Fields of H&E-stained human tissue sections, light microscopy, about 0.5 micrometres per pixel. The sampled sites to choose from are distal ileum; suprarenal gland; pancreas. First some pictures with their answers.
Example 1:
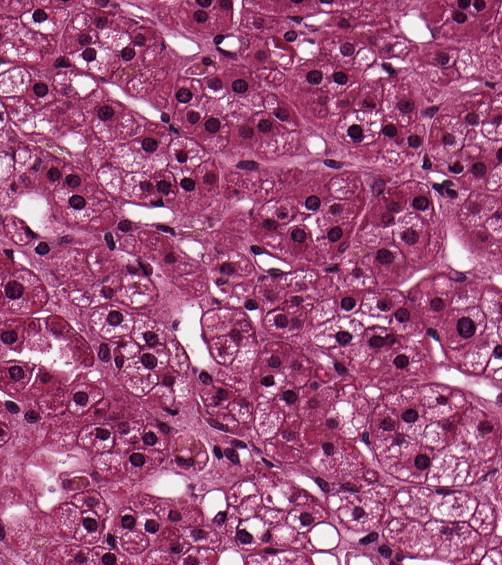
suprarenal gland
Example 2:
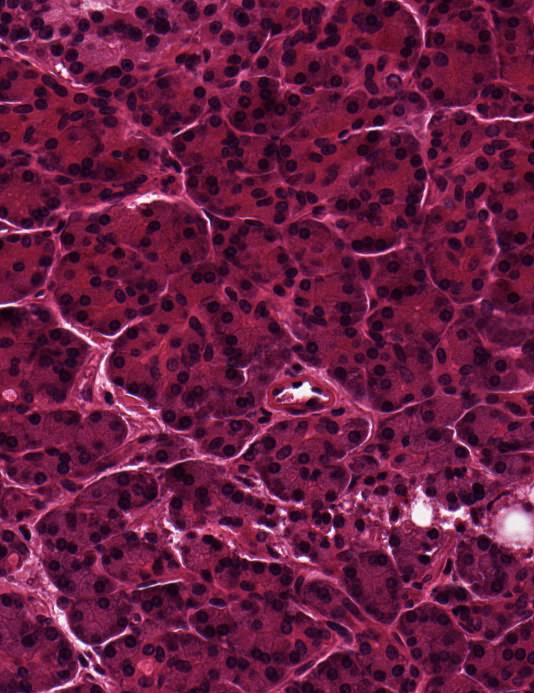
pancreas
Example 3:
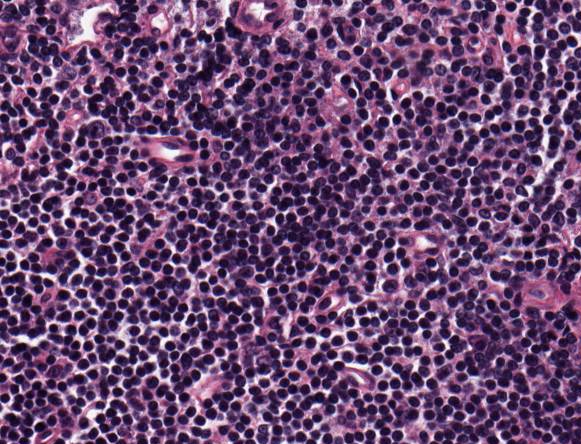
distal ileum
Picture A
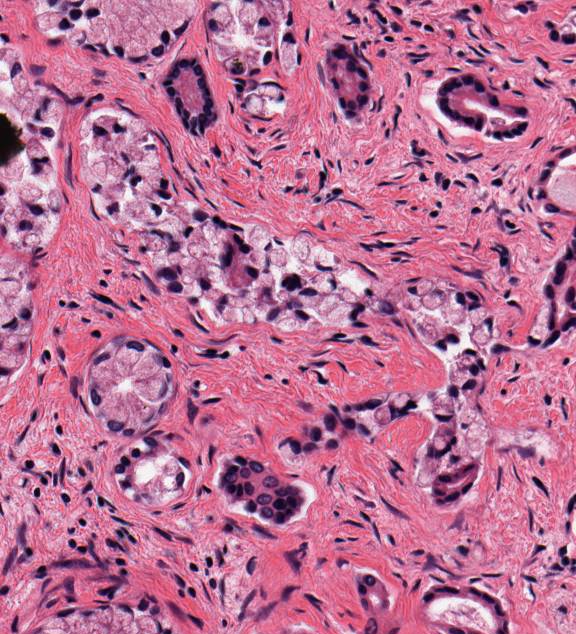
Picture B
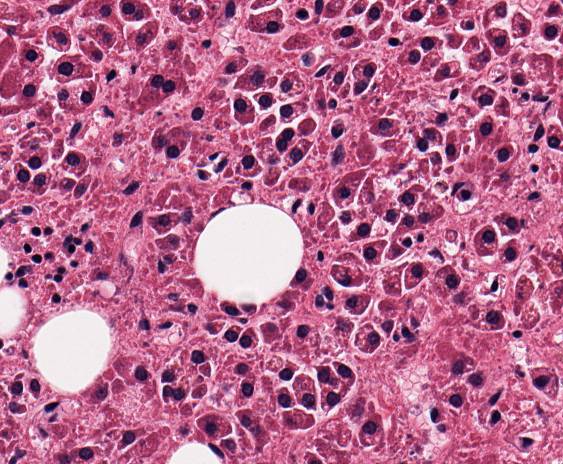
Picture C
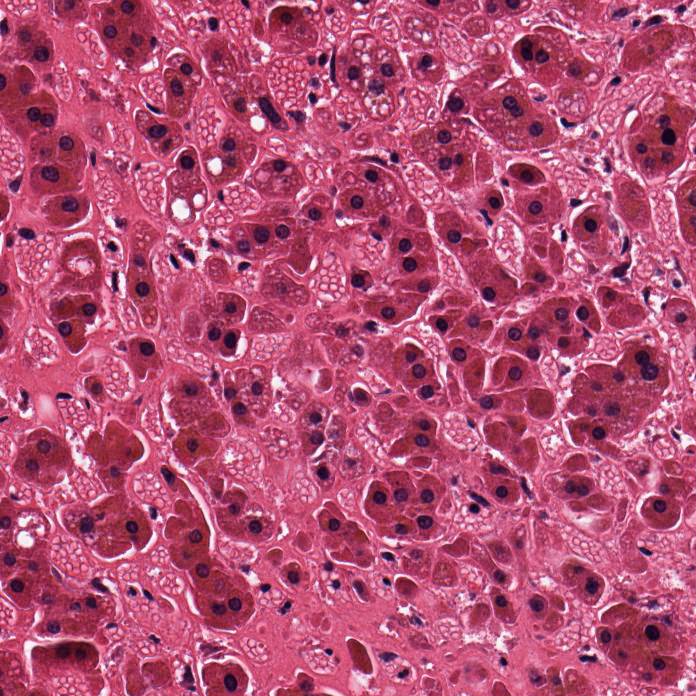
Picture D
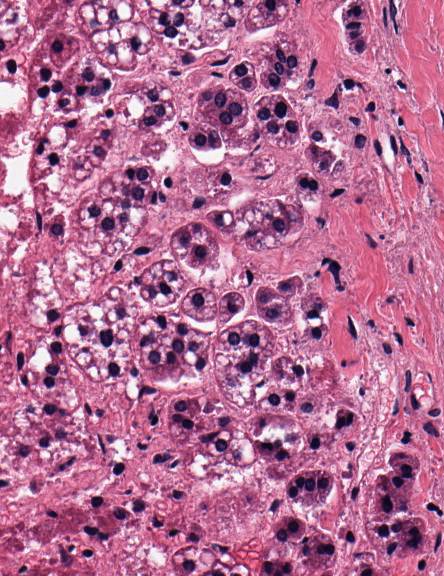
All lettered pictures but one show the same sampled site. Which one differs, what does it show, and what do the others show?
A differs and shows pancreas; the others show suprarenal gland.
